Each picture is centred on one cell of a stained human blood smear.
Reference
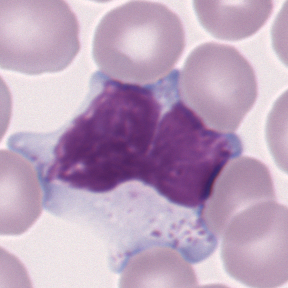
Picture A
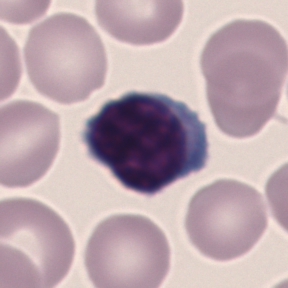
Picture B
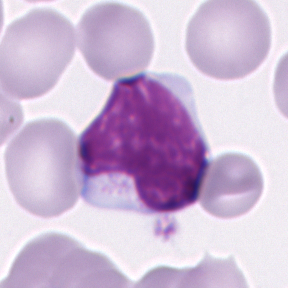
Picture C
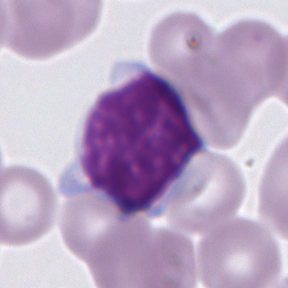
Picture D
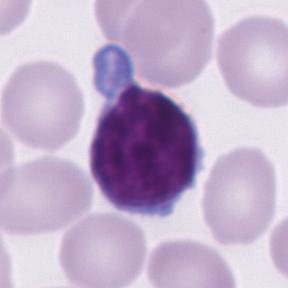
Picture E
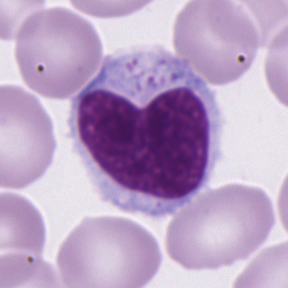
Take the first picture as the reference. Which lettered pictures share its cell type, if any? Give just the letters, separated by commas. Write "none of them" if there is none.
B, C, E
